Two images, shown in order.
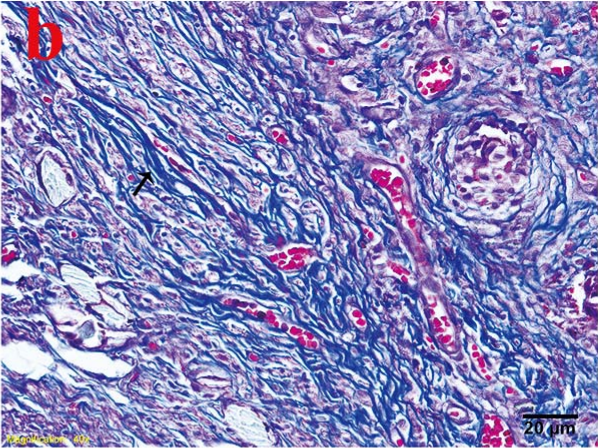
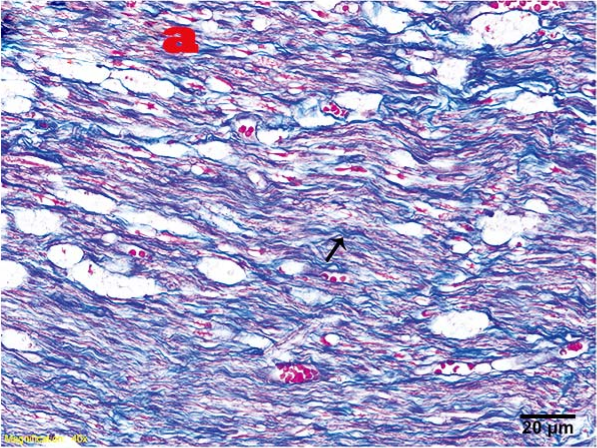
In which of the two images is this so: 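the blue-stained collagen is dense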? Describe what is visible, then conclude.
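First image: thick deep-blue fibre bundles fill much of the field. Second image: blue fibres are thin and pale, mixed with pink fibres and many clear spaces. On this evidence: the first image.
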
